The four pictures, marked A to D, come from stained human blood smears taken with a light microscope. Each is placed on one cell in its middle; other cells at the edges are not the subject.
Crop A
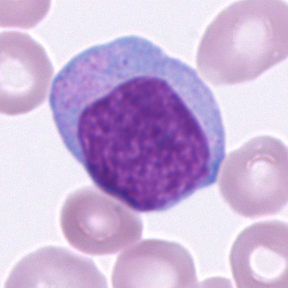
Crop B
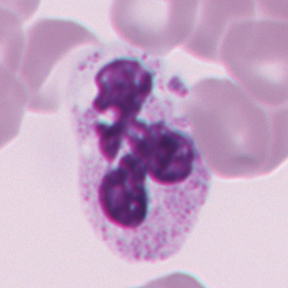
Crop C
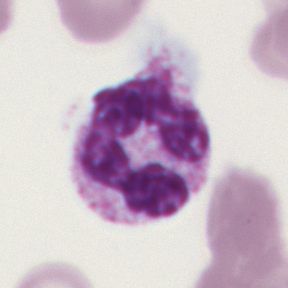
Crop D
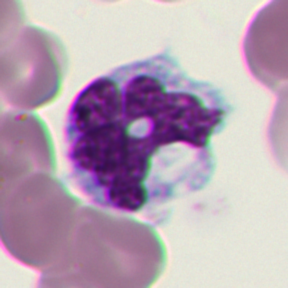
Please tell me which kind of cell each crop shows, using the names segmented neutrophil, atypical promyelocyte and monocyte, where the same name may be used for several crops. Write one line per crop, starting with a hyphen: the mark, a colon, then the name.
- A: atypical promyelocyte
- B: segmented neutrophil
- C: segmented neutrophil
- D: monocyte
